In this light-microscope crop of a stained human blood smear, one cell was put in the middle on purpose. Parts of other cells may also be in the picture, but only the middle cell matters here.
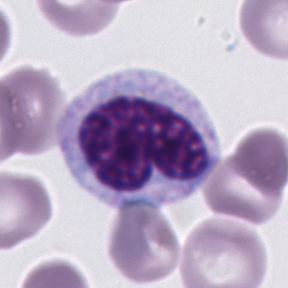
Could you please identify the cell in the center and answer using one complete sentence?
The cell at the centre of the field is a band neutrophil.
